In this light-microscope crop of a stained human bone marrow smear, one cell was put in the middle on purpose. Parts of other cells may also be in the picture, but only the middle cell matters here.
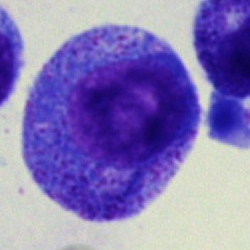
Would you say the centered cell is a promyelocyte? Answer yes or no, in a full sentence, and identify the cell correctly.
Yes, the cell in the centre is a promyelocyte.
